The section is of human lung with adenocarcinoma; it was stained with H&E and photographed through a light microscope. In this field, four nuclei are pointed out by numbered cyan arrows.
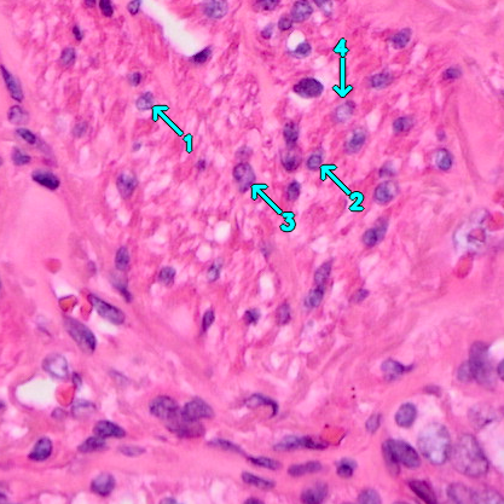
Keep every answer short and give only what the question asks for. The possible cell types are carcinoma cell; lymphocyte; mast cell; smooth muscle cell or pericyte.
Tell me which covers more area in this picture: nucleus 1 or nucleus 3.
3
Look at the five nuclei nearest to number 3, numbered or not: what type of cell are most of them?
smooth muscle cell or pericyte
